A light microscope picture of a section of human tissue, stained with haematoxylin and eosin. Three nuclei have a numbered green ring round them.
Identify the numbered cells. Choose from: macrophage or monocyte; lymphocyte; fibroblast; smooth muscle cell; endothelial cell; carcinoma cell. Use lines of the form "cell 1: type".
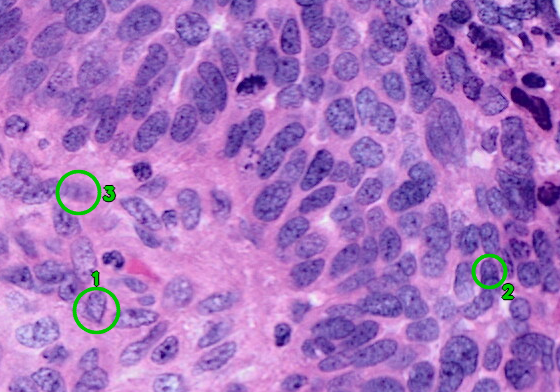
cell 1: endothelial cell
cell 2: carcinoma cell
cell 3: fibroblast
